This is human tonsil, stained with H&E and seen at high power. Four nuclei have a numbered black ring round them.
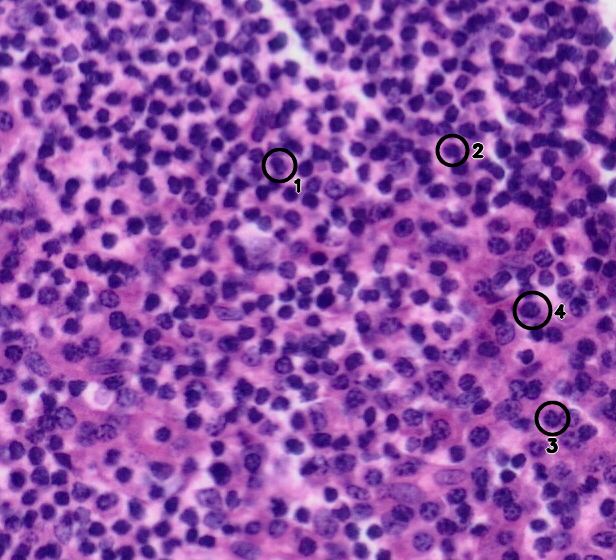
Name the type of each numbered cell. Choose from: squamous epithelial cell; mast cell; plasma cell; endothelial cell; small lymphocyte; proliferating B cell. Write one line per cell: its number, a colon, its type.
1: small lymphocyte
2: small lymphocyte
3: plasma cell
4: plasma cell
